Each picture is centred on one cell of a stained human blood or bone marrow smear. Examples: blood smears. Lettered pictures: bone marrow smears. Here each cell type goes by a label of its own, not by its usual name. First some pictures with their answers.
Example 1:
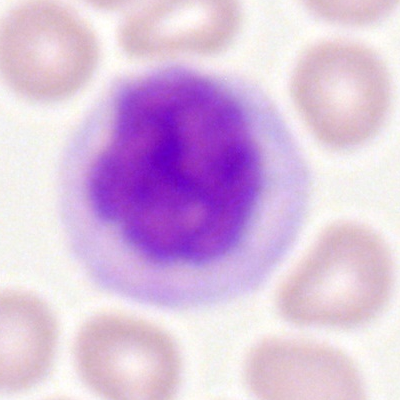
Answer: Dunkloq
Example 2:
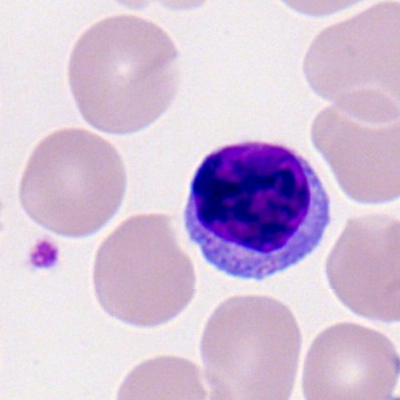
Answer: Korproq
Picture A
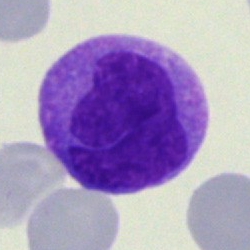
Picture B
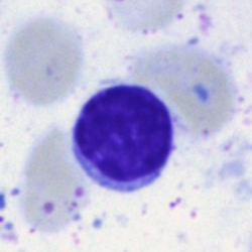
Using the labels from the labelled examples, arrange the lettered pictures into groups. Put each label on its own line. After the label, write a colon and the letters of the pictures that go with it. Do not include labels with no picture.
Dunkloq: A
Korproq: B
